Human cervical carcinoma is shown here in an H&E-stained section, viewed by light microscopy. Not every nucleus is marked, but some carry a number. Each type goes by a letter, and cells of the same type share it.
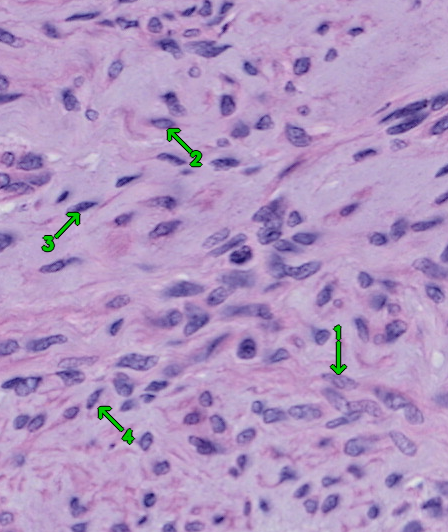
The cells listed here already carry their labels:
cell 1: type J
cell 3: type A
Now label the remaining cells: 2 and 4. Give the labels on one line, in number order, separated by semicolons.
type J; type J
